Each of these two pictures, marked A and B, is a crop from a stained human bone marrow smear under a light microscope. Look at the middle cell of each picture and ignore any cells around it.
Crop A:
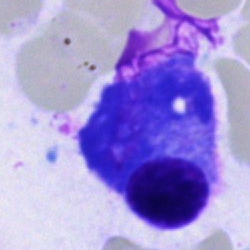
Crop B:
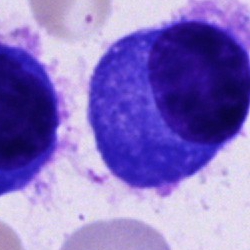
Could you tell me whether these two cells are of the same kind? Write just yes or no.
yes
